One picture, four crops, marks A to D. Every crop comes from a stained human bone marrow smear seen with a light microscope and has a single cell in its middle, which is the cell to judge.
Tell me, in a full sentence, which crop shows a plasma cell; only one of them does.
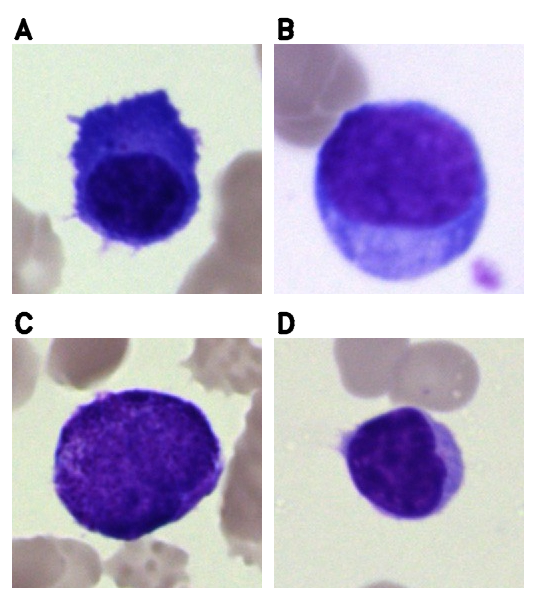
Of all the crops, crop A is the one showing a plasma cell.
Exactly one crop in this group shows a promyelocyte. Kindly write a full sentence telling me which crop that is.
Crop C is the one that shows a promyelocyte.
